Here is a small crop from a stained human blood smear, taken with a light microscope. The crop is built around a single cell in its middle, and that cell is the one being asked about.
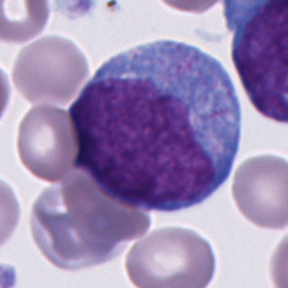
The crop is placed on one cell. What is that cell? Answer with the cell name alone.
promyelocyte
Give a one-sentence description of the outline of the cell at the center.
Nothing juts out from the margin, which is smooth throughout.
